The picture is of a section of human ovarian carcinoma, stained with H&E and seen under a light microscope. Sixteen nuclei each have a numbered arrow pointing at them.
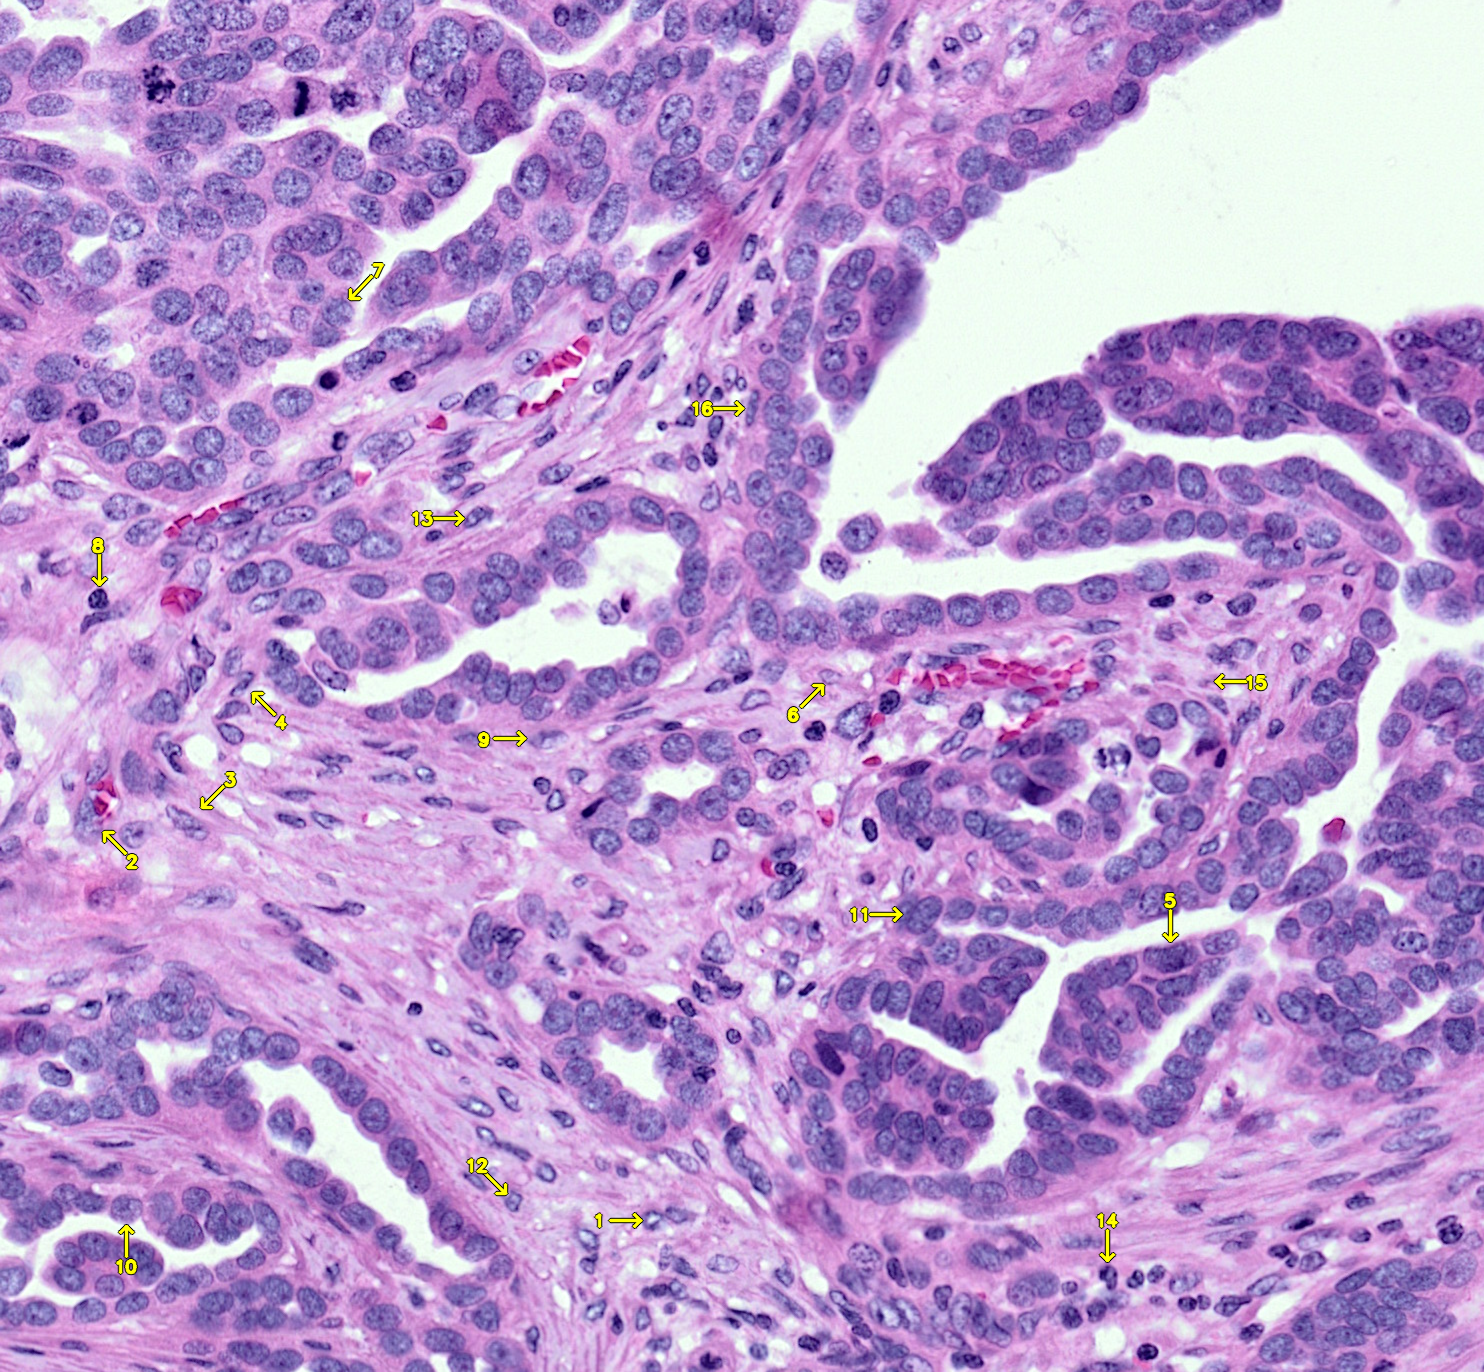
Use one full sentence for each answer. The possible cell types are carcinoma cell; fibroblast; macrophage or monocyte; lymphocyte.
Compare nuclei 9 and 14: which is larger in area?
Nucleus 9 covers more area, about 1.5 times as much as nucleus 14.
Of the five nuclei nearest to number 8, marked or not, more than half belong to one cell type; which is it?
Macrophages or monocytes account for more than half of the five nuclei nearest to number 8.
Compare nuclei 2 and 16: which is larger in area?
It is nucleus 2, which covers about 4 times the area of nucleus 16.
